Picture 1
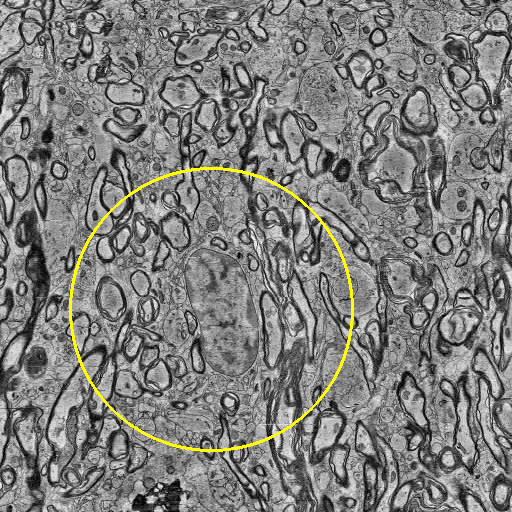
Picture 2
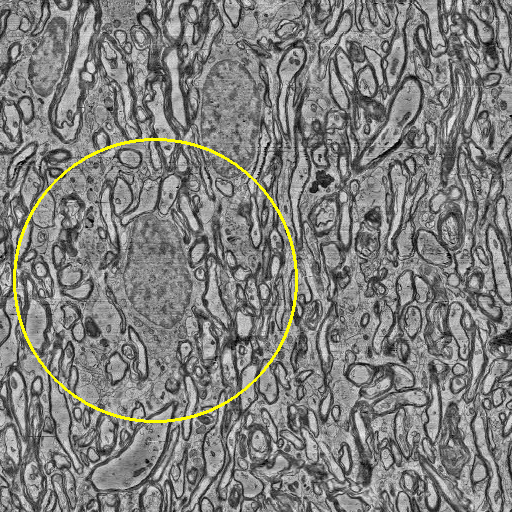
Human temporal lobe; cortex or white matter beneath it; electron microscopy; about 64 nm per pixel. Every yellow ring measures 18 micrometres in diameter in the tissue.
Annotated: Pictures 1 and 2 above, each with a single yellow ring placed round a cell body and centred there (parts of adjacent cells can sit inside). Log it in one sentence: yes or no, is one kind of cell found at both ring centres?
No, the ring centres of the two pictures hold cells of two kinds.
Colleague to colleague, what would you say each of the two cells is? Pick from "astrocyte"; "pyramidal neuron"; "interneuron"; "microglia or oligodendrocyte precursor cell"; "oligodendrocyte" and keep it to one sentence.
The cell in the first picture is a microglial cell or oligodendrocyte precursor cell; the second picture's cell is an oligodendrocyte.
